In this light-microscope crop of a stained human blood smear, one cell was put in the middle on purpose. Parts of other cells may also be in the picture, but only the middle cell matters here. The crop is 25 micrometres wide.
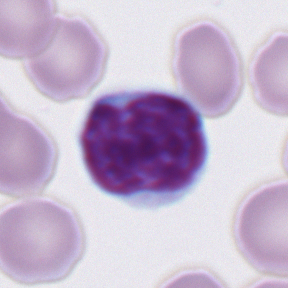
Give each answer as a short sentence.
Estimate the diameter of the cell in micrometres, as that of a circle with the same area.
About 11 micrometres: that is the cell's diameter.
